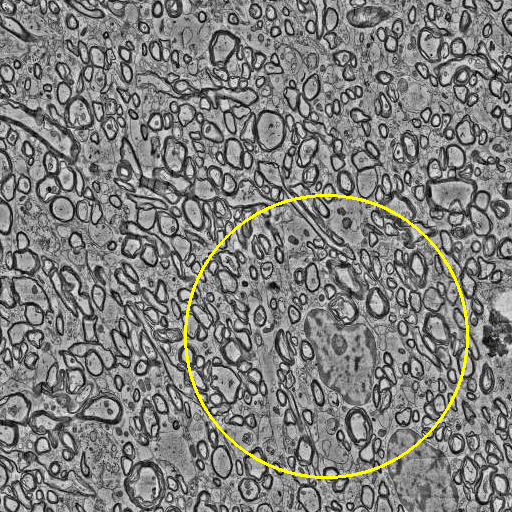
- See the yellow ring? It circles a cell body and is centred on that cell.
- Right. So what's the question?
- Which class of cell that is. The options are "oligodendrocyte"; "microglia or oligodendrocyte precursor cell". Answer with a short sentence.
The centre of the ring holds a microglial cell or oligodendrocyte precursor cell.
